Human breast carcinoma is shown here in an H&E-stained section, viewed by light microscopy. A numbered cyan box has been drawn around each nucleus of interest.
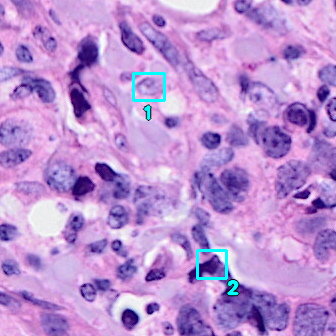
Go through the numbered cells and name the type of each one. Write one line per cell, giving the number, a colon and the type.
1: macrophage, monocyte or dendritic cell
2: lymphocyte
